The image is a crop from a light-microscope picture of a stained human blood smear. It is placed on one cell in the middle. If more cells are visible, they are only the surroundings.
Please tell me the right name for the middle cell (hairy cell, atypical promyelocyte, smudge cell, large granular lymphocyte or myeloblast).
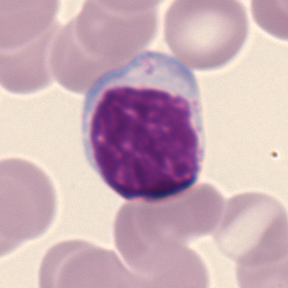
large granular lymphocyte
